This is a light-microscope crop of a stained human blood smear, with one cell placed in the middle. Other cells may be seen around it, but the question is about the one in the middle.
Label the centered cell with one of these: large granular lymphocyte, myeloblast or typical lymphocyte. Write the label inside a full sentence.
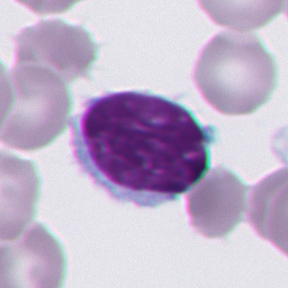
The cell sitting right in the middle is a typical lymphocyte.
